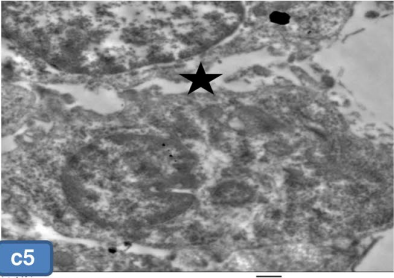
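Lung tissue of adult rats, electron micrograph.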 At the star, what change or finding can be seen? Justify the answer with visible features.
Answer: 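The cells are widely separated. The star lies in a wide pale gap between two cells.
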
